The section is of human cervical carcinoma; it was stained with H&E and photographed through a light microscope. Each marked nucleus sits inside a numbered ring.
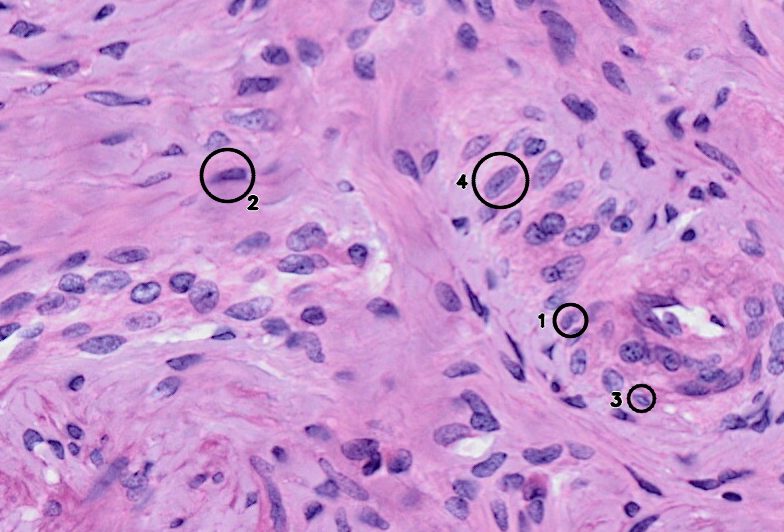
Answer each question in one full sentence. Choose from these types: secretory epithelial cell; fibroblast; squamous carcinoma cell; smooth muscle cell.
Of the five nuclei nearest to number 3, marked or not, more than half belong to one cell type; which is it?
The majority of the five nuclei closest to number 3 belong to smooth muscle cells.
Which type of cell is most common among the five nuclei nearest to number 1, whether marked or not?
Most of the five nuclei nearest to number 1 are those of smooth muscle cells.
